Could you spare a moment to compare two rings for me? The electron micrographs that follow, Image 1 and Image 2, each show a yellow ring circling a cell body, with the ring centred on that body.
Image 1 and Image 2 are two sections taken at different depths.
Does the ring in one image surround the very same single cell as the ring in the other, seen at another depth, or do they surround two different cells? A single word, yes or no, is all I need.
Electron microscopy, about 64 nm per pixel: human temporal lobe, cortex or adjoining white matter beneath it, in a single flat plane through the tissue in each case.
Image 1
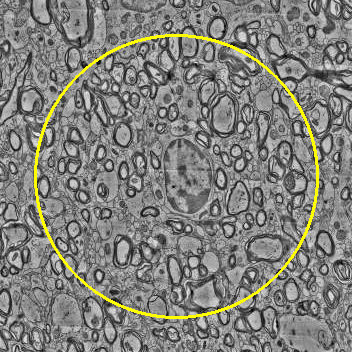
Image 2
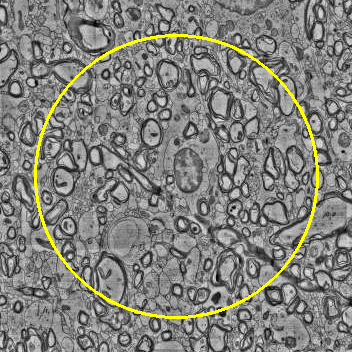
yes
